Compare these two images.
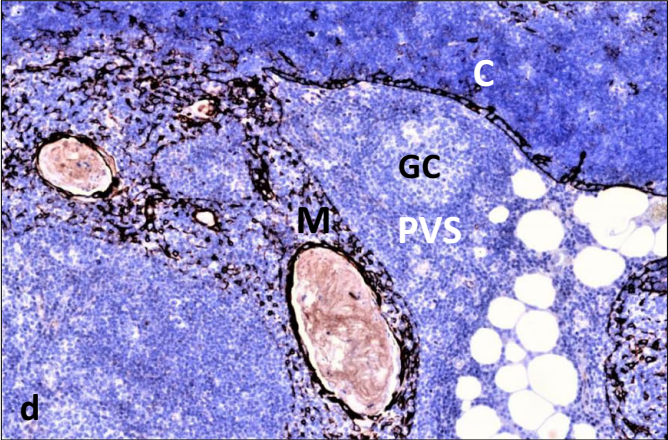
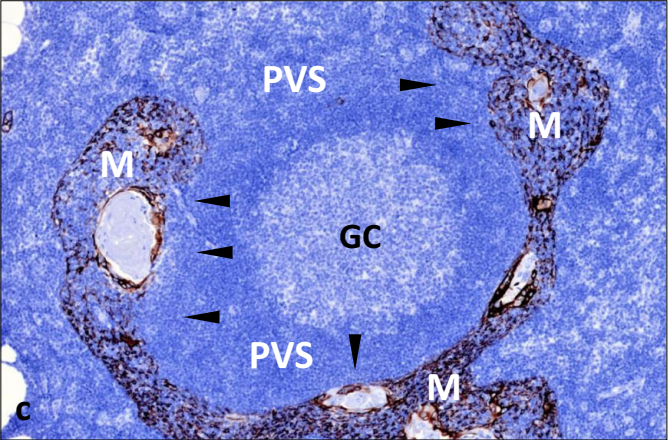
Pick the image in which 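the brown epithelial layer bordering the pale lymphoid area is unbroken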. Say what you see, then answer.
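The first image. Second image: the brown epithelial band around the large pale area is broken, with gaps at several points. First image: a thin brown line runs without gaps along the border of the pale area.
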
